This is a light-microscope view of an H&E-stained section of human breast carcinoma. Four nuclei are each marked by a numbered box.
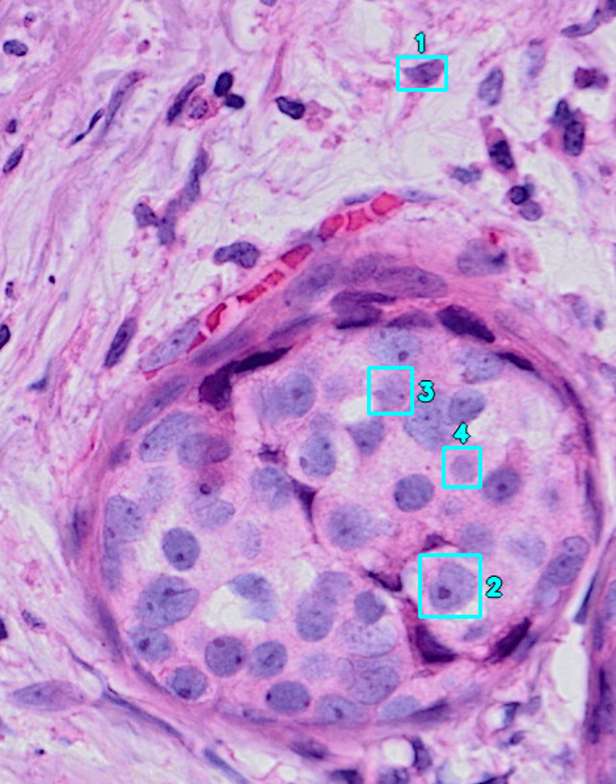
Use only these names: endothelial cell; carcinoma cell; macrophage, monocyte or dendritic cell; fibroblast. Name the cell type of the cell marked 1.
macrophage, monocyte or dendritic cell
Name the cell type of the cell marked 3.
carcinoma cell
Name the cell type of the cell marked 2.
carcinoma cell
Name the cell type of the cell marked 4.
carcinoma cell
